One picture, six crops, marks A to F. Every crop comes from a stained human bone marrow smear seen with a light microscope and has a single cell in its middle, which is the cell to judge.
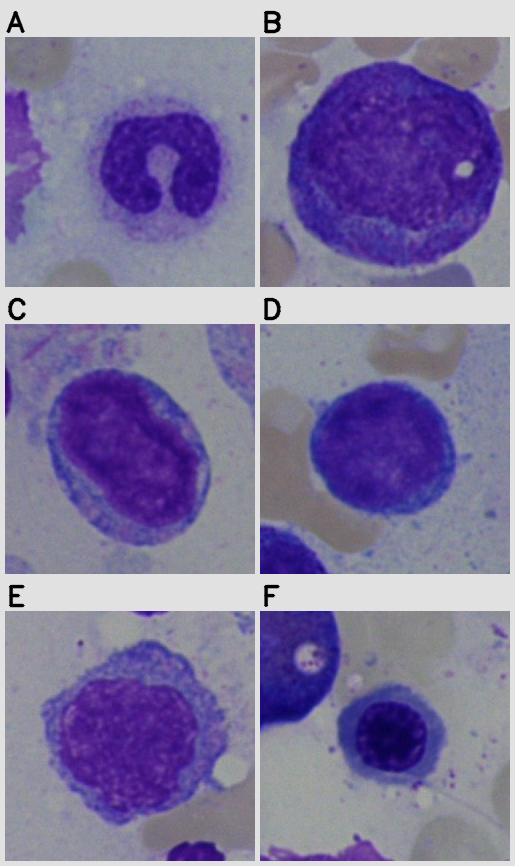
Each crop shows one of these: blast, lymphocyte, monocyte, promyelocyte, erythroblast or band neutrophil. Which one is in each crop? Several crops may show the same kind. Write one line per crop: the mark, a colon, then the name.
A: band neutrophil
B: promyelocyte
C: blast
D: blast
E: monocyte
F: erythroblast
